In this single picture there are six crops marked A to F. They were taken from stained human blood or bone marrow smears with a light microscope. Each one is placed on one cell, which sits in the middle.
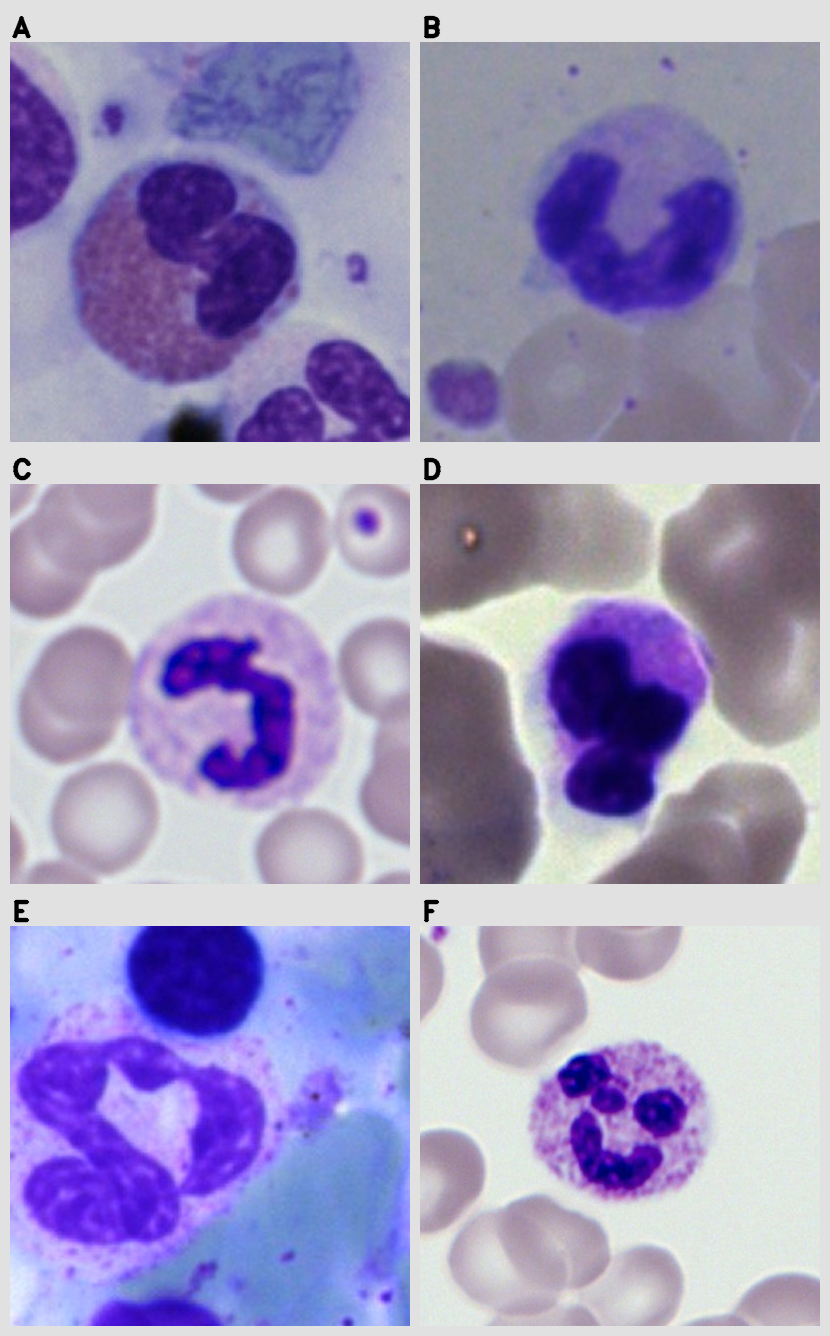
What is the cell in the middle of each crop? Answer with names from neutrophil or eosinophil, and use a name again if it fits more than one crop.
A: eosinophil
B: neutrophil
C: neutrophil
D: neutrophil
E: neutrophil
F: neutrophil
